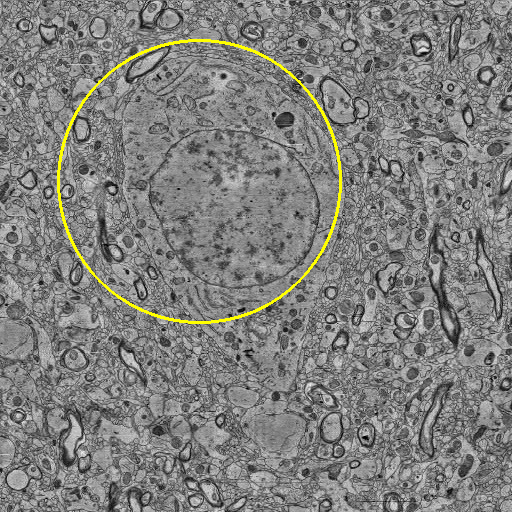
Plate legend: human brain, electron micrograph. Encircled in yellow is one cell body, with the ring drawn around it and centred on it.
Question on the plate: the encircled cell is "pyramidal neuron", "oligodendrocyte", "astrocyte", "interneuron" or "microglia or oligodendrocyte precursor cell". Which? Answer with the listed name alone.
interneuron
